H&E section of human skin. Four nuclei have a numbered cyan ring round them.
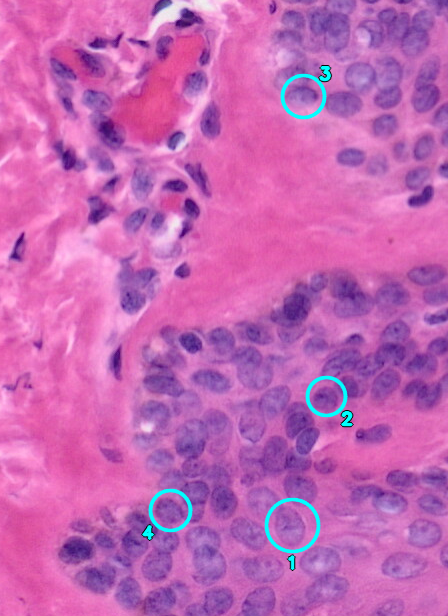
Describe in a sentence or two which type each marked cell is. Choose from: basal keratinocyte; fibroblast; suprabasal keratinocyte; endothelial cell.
Cell 1 is a suprabasal keratinocyte. Cells 2, 3 and 4 are basal keratinocytes.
